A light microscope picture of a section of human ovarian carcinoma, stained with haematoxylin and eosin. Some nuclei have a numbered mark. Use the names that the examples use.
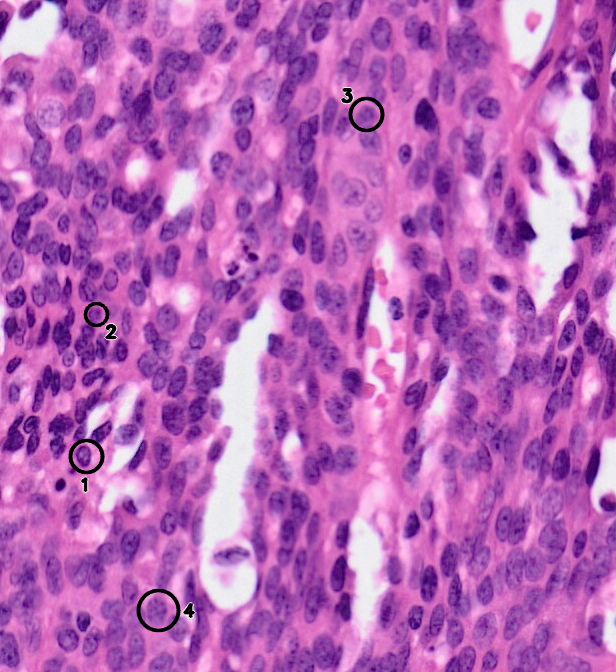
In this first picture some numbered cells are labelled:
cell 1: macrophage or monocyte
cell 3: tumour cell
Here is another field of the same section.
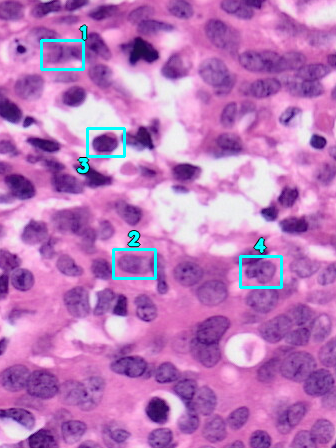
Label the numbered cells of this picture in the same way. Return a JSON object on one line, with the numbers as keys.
{"1": "tumour cell", "2": "tumour cell", "3": "tumour cell", "4": "macrophage or monocyte"}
